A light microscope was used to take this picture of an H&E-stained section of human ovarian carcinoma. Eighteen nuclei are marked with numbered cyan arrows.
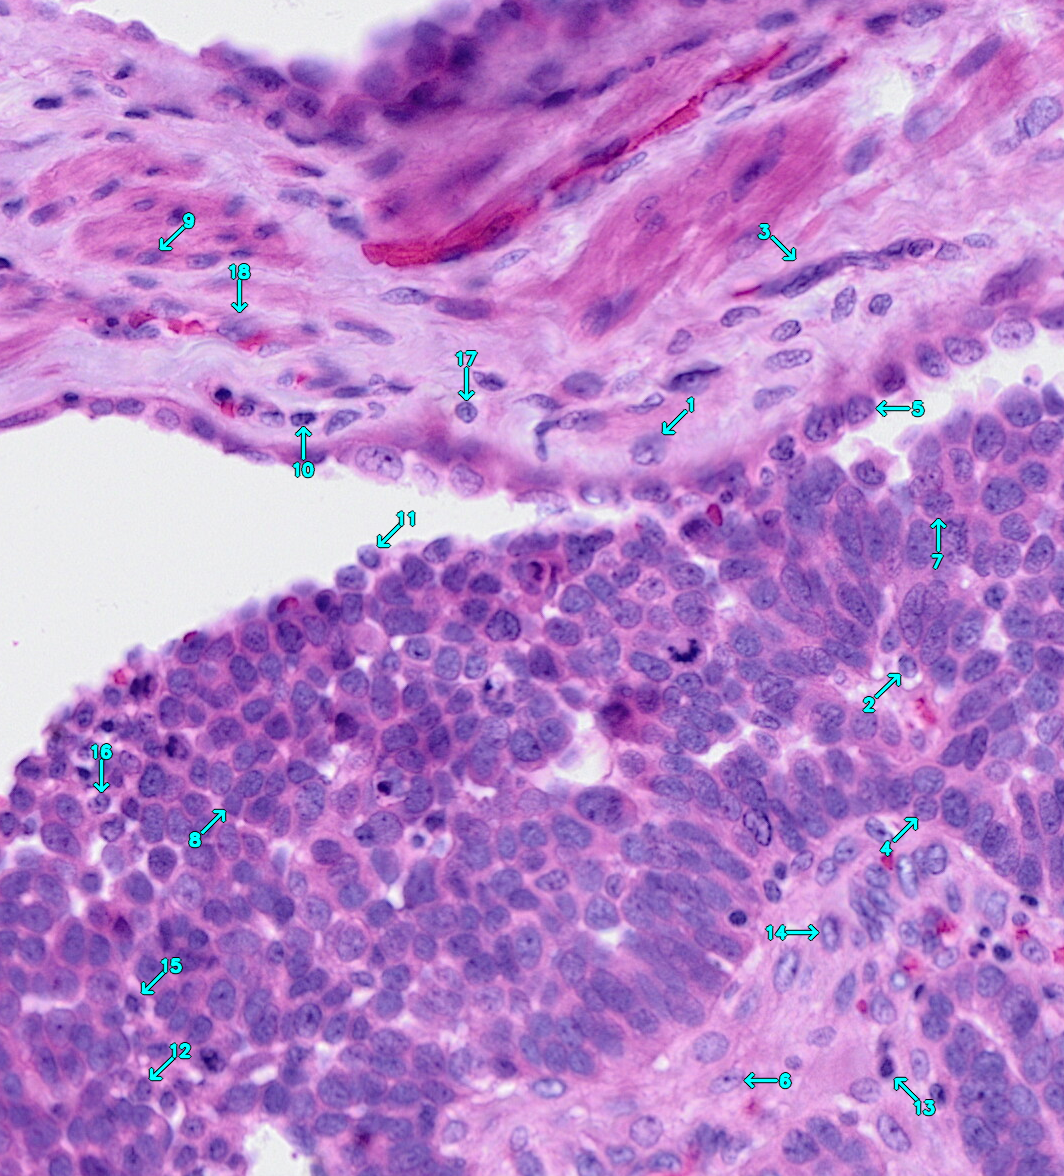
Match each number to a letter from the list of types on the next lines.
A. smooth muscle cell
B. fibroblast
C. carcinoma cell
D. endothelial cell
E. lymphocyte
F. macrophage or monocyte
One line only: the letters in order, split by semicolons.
B; F; D; C; C; B; C; C; A; E; F; F; E; B; F; F; E; D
